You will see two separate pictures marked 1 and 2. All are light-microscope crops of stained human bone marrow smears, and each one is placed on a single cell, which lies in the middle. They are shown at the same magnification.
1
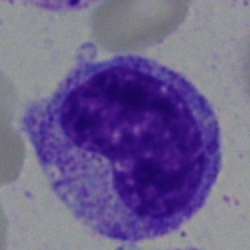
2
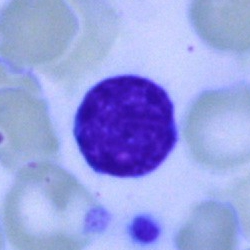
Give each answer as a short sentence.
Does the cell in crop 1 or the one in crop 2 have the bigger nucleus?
Larger is the nucleus in crop 1, at roughly 1.5 times the area of the other.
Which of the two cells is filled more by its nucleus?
Of the two, the nucleus in crop 2 makes up the greater part of its cell.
